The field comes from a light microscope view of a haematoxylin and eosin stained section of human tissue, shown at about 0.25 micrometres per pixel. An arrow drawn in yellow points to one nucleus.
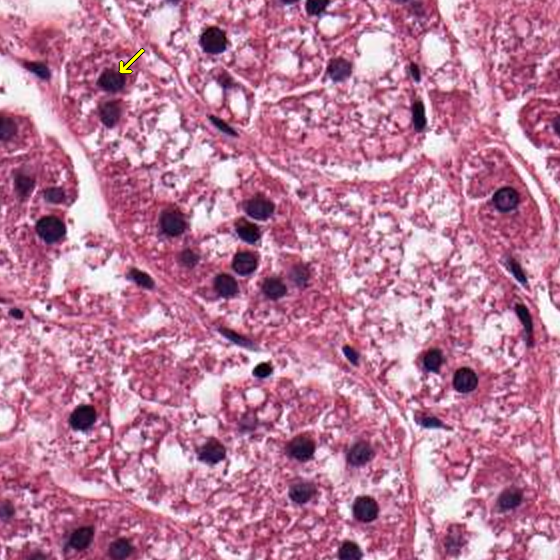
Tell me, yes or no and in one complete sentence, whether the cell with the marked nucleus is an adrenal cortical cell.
Yes, an adrenal cortical cell is what the marked nucleus belongs to.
